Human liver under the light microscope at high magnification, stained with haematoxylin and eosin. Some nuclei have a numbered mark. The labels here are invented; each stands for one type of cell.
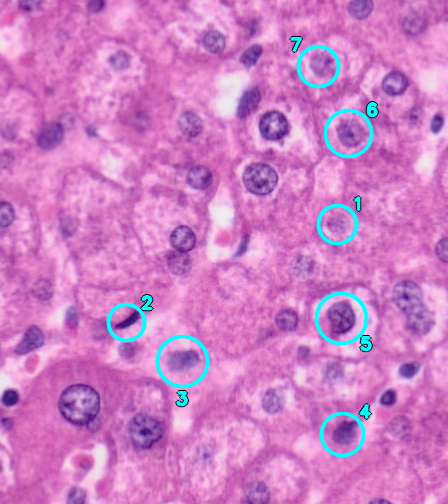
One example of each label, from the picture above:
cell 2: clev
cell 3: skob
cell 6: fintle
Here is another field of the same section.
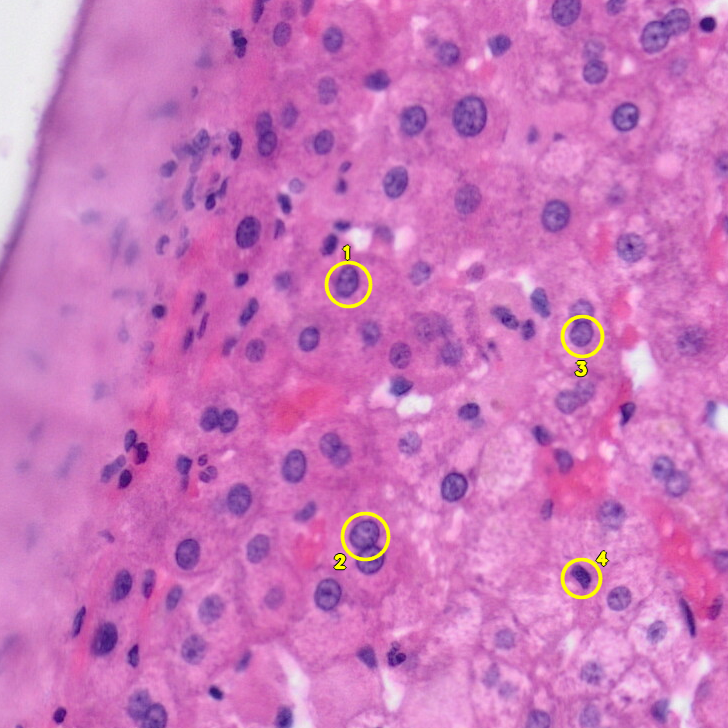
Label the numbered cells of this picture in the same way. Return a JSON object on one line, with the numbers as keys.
{"1": "fintle", "2": "fintle", "3": "fintle", "4": "clev"}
